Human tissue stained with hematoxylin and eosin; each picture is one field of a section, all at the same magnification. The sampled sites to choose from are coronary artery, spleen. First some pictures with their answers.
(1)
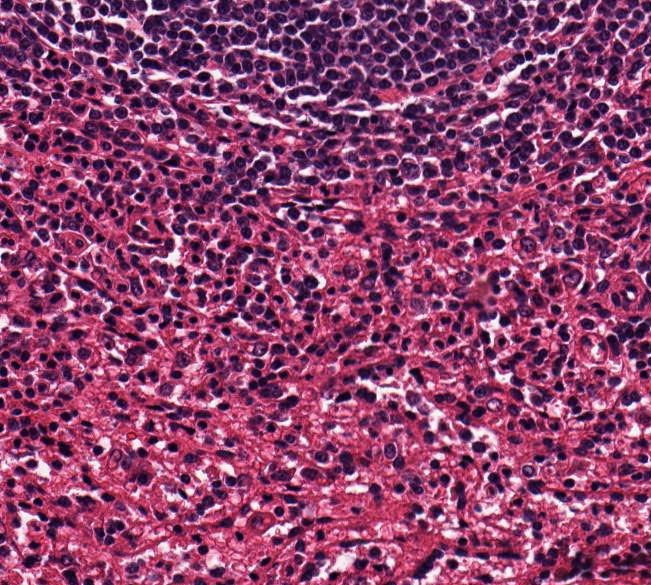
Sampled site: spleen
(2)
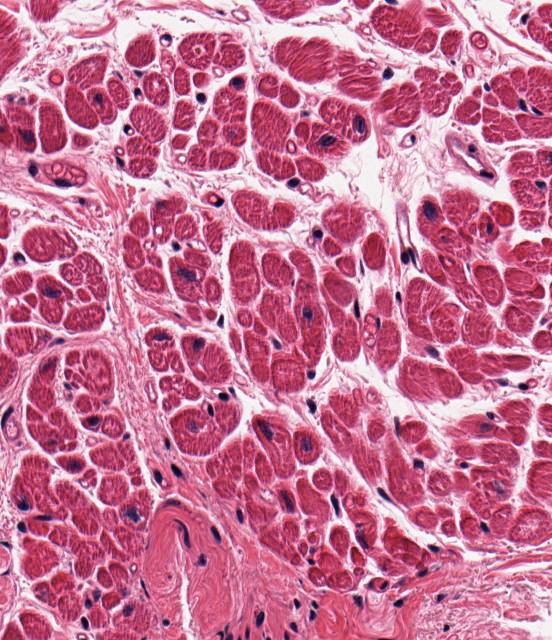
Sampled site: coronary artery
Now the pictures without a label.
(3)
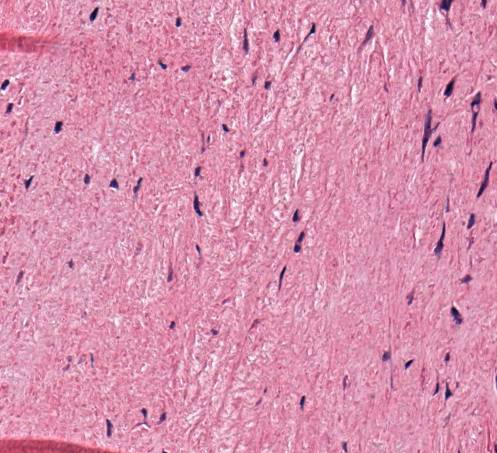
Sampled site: coronary artery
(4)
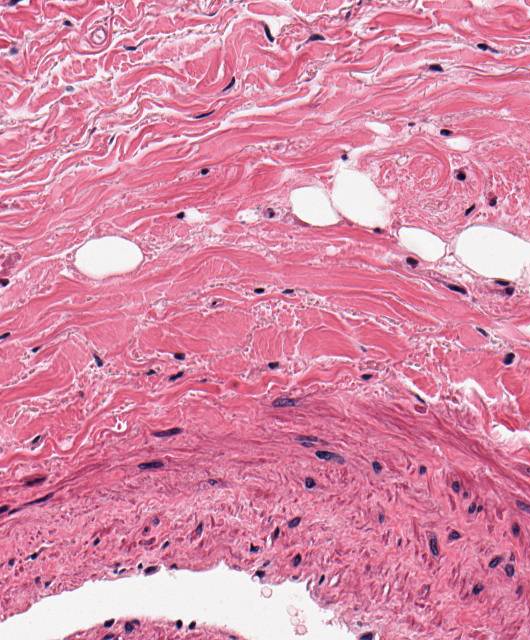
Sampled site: coronary artery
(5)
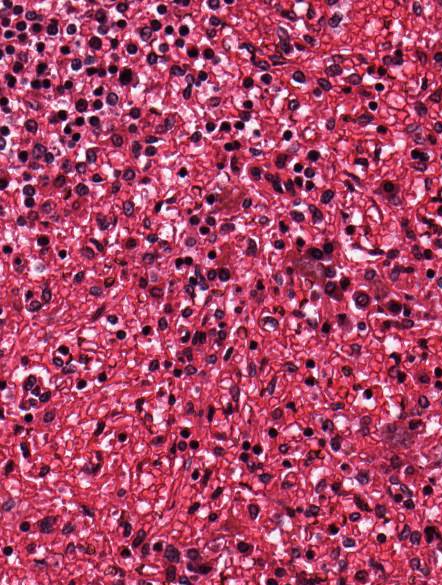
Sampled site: spleen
